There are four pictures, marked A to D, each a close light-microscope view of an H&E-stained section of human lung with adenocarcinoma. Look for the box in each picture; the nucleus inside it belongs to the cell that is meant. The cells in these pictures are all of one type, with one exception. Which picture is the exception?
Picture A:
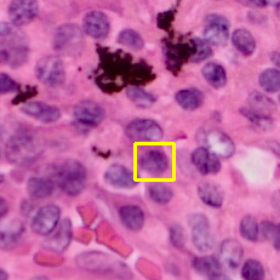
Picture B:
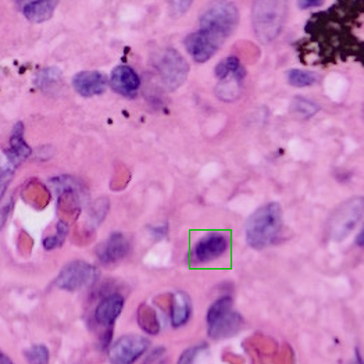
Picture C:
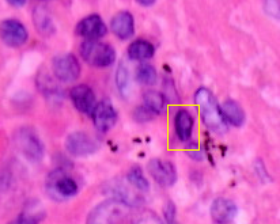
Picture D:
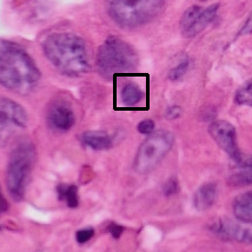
D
